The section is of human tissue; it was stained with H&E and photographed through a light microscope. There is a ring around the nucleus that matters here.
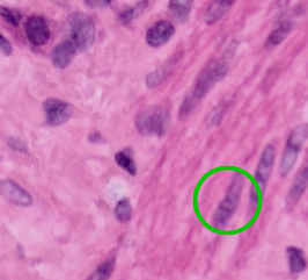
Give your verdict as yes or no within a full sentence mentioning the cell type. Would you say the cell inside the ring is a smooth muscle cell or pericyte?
Yes, the cell inside the ring is to be classified as a smooth muscle cell or pericyte.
